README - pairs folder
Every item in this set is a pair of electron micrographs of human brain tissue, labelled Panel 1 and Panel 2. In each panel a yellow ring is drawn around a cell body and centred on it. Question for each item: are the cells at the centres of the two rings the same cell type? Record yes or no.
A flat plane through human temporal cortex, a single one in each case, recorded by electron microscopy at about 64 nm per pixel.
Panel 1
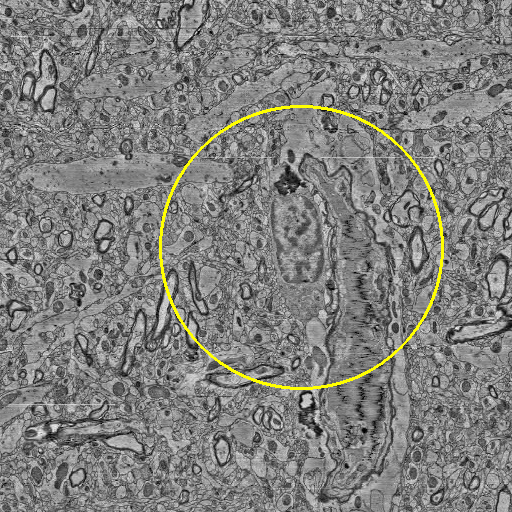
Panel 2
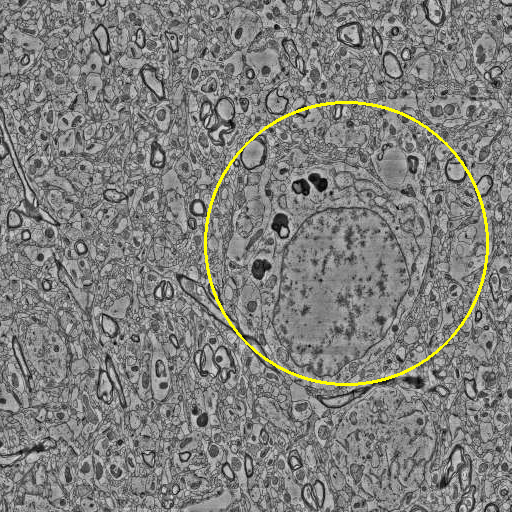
no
